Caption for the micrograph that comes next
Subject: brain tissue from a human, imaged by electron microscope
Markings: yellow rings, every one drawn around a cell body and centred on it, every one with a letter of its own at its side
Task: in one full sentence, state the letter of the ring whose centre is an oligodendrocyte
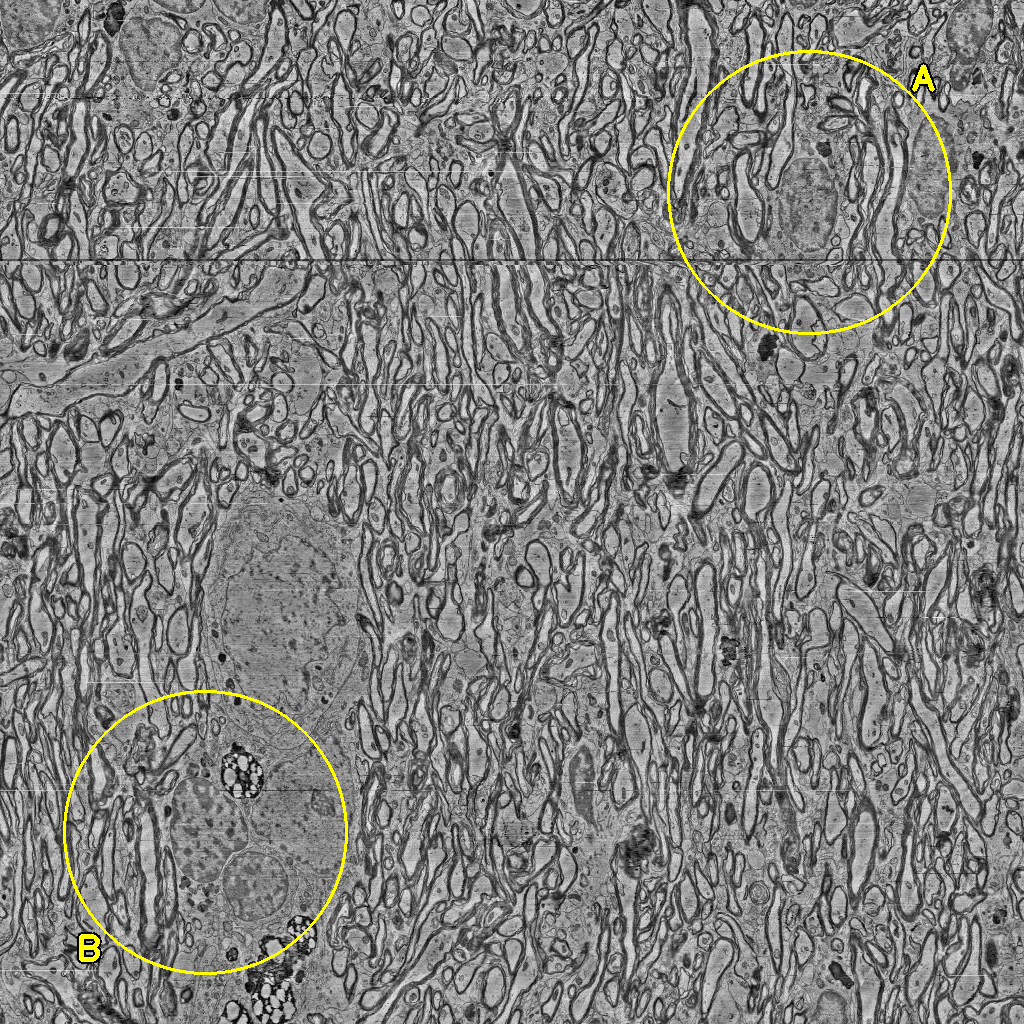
The ring centred on the cell asked for in this micrograph carries the letter A.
